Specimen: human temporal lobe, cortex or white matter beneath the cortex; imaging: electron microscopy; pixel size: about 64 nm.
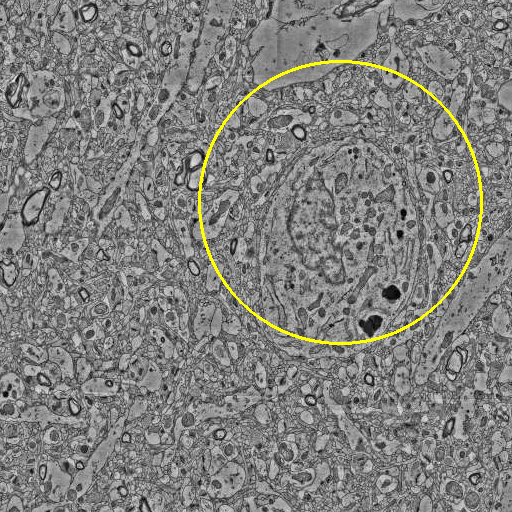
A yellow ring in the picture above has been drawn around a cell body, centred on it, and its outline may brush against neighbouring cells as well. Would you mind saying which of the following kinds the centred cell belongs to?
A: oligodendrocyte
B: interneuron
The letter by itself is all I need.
B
